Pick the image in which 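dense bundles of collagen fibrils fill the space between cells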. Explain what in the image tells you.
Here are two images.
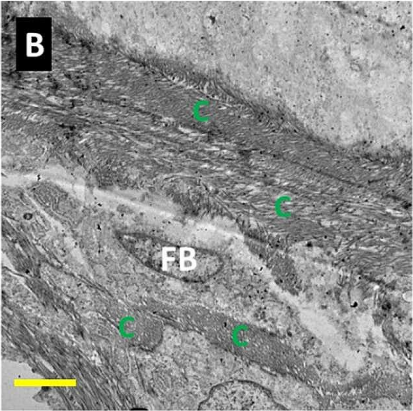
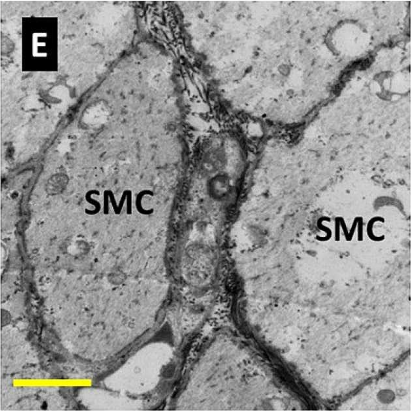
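The first image. Second image: large cells lie in close contact with only narrow gaps and little fibrillar material between them. First image: broad bands of densely packed fibrils occupy much of the field around a spindle-shaped cell.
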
